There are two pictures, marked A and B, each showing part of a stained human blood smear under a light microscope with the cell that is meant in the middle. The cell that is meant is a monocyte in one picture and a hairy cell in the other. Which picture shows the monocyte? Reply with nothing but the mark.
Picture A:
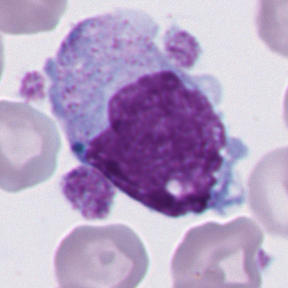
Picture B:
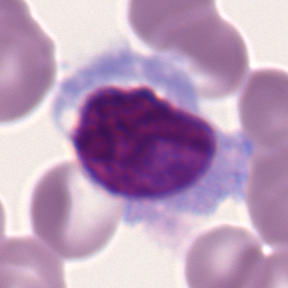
A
